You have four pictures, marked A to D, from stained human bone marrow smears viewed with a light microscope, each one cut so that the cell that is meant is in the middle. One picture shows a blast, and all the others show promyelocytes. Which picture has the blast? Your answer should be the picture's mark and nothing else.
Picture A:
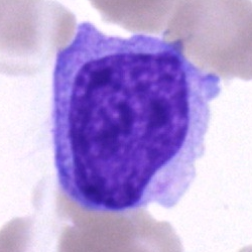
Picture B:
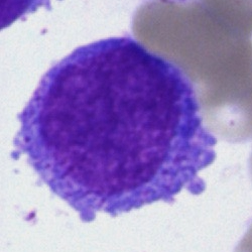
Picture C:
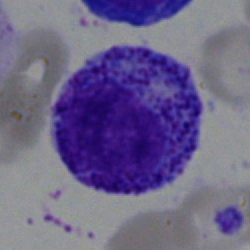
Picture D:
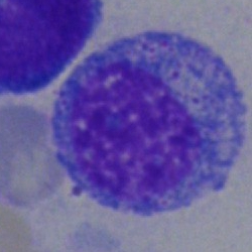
A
